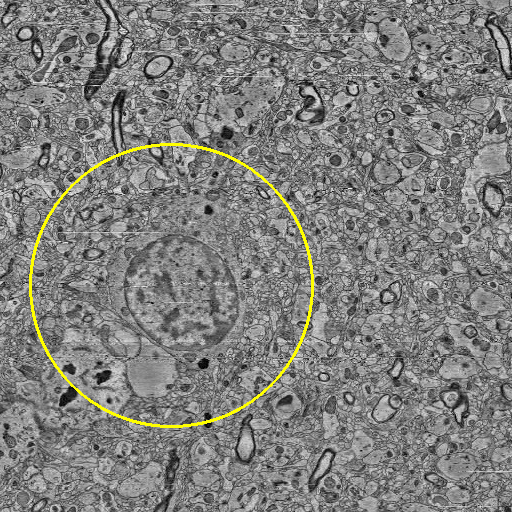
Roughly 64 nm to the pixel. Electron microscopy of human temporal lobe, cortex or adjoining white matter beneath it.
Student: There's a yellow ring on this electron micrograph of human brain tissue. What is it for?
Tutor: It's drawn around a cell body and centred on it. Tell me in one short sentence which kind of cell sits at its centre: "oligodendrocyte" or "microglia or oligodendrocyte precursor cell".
The cell at the centre of the ring is an oligodendrocyte.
